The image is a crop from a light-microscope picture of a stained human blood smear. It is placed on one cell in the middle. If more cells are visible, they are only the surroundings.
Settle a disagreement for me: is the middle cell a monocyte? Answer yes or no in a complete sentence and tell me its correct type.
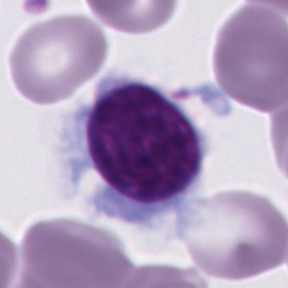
No, mark the middle cell as a hairy cell, not a monocyte.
